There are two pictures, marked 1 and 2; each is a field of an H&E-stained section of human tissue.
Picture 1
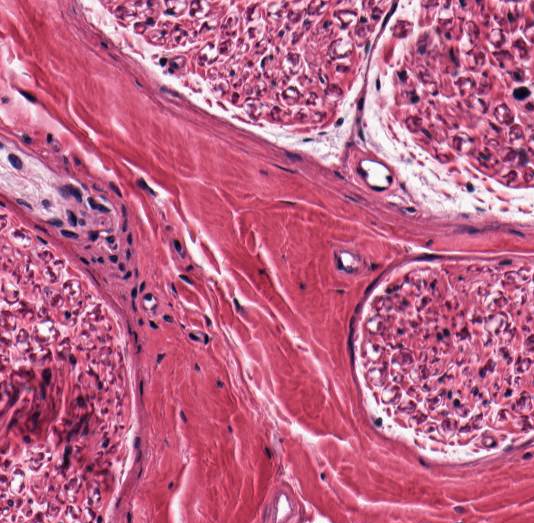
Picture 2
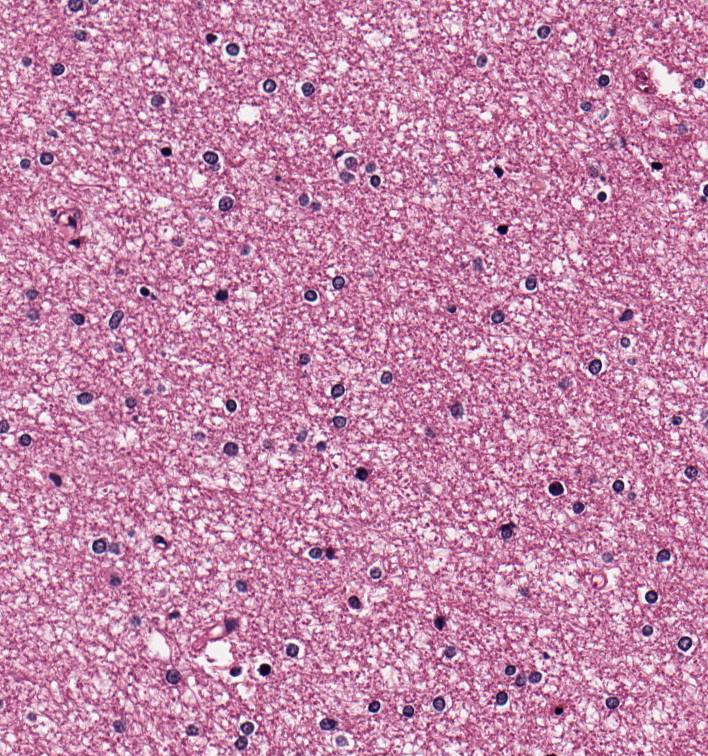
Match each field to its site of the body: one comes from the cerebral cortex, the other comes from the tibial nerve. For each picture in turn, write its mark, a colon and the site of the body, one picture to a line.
1: tibial nerve
2: cerebral cortex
